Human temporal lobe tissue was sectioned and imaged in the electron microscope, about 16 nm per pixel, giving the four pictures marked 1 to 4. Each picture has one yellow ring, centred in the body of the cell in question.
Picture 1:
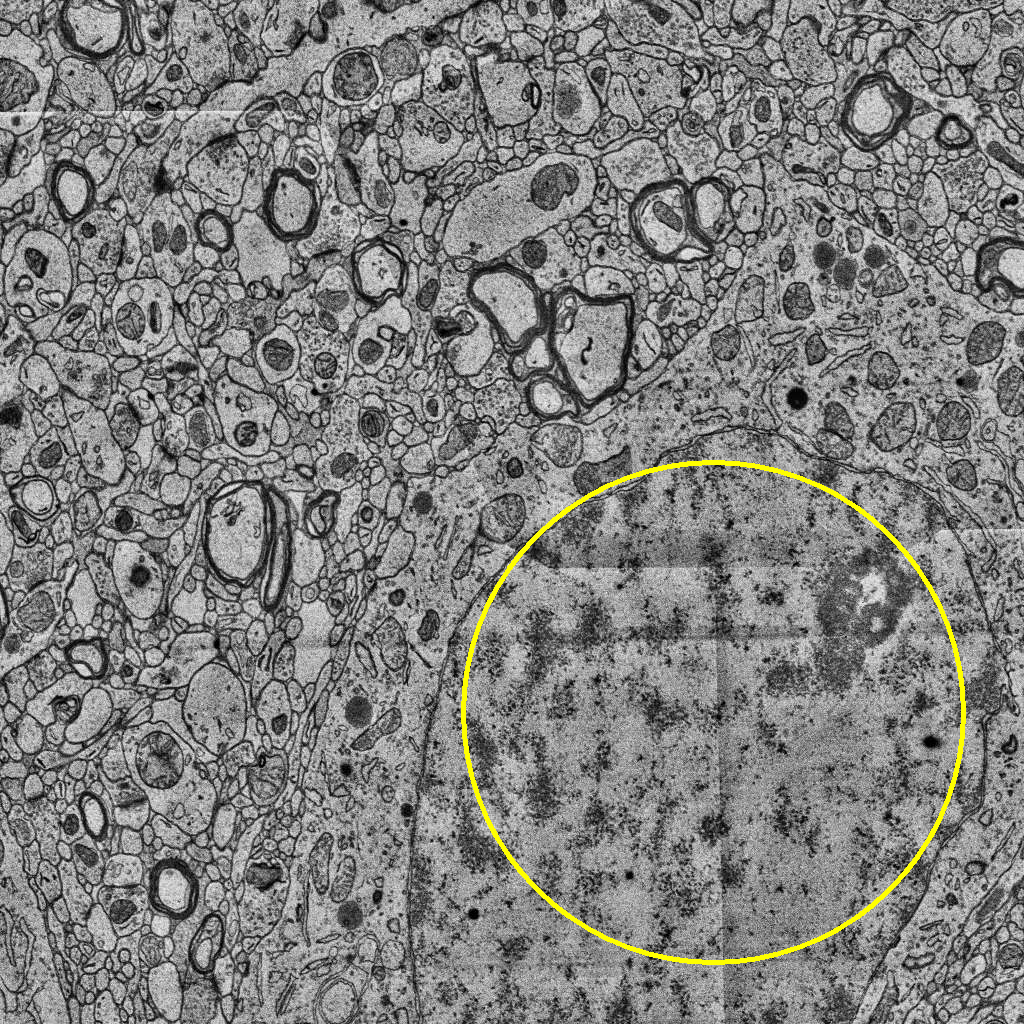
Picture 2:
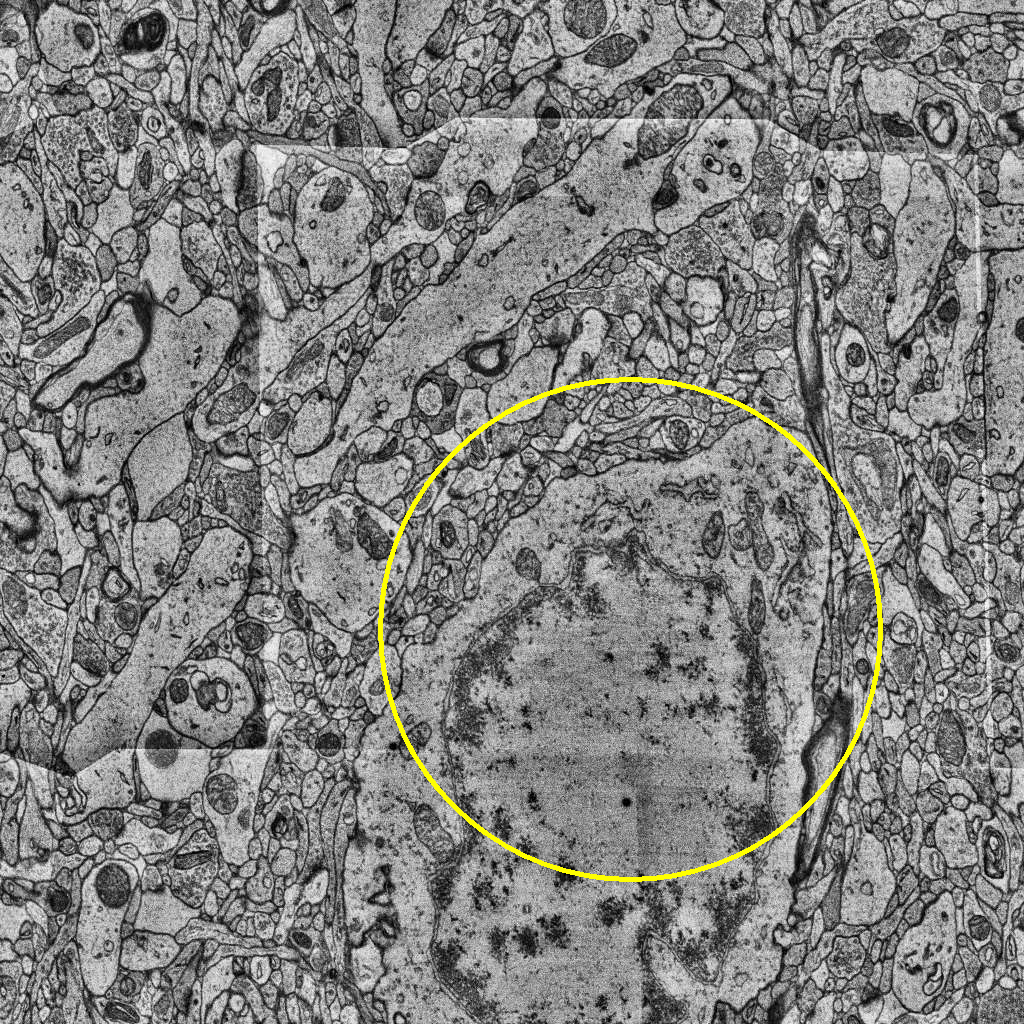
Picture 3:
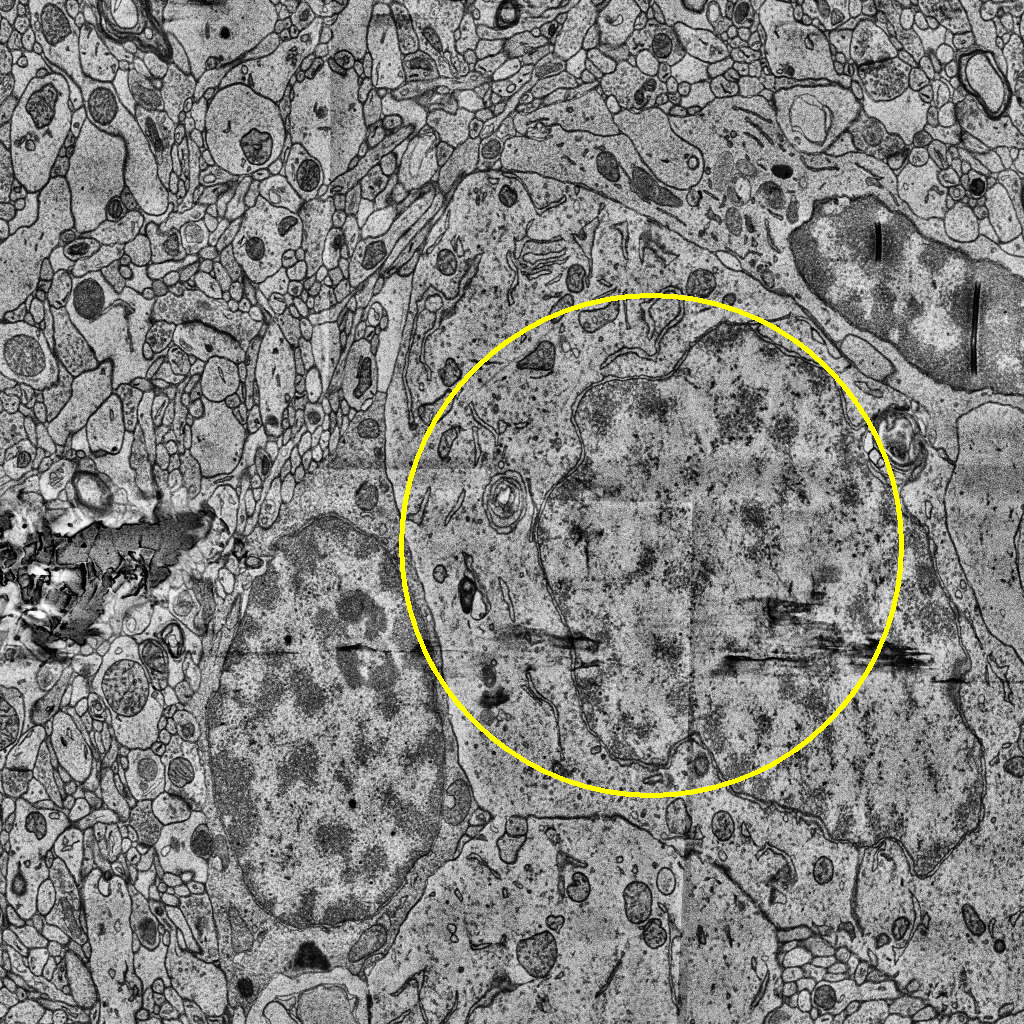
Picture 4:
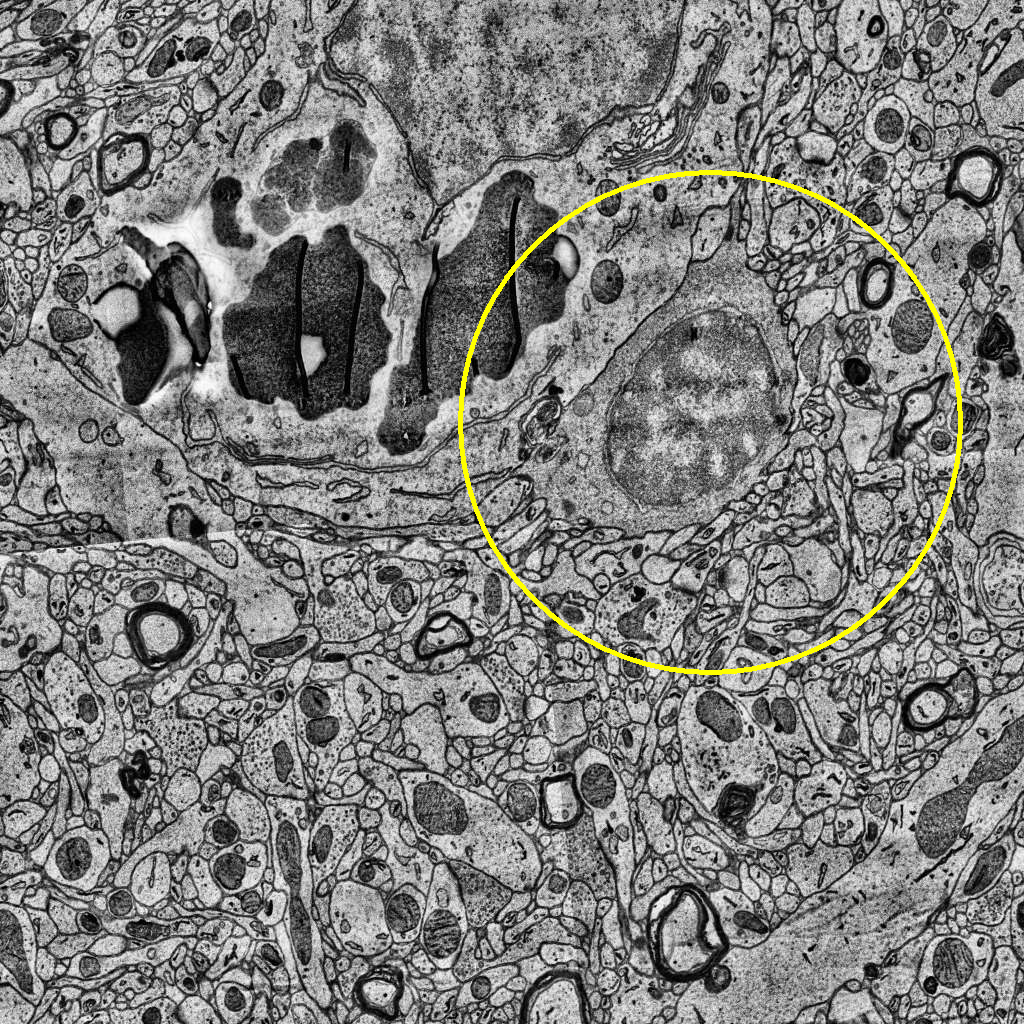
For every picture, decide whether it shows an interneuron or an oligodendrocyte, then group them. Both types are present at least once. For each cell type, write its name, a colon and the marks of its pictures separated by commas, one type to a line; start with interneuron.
interneuron: 1, 2, 3
oligodendrocyte: 4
